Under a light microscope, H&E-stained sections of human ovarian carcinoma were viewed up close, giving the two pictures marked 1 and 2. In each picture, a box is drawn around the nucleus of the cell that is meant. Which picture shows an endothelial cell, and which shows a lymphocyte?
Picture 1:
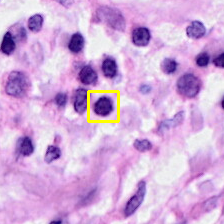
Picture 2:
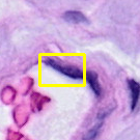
1: lymphocyte
2: endothelial cell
